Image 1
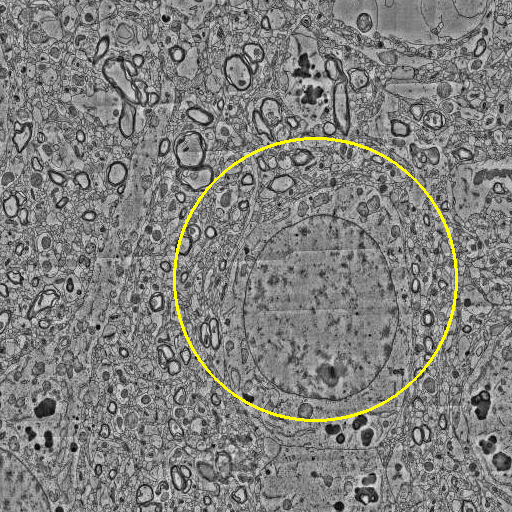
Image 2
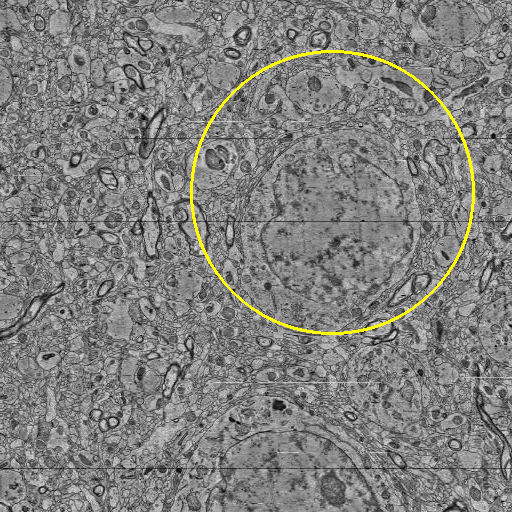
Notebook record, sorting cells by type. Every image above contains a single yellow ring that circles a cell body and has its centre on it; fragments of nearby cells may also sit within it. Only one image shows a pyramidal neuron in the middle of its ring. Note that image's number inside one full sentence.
For image 1, the cell in the middle of its yellow ring is the match.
